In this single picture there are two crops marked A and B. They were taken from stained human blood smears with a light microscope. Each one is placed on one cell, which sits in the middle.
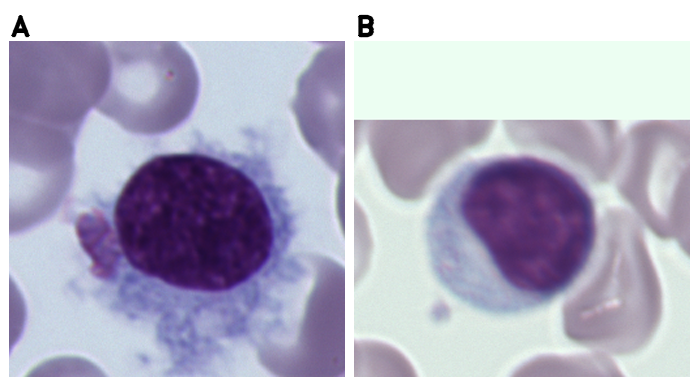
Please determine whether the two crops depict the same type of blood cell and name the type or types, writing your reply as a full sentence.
No, as for crop A, it shows a hairy cell, and crop B shows a typical lymphocyte.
